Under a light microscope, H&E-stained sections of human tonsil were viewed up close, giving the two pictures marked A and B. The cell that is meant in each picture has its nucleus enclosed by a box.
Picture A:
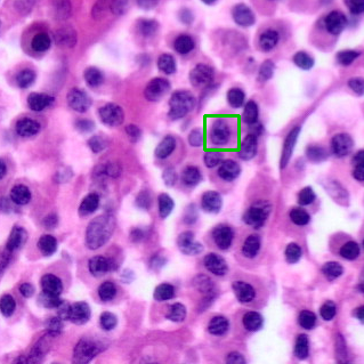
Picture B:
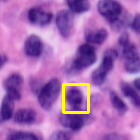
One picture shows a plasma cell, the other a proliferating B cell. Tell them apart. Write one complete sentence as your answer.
It is picture A that shows a plasma cell, and picture B that shows a proliferating B cell.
